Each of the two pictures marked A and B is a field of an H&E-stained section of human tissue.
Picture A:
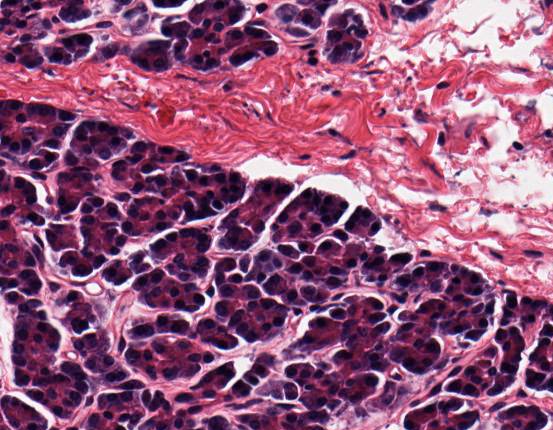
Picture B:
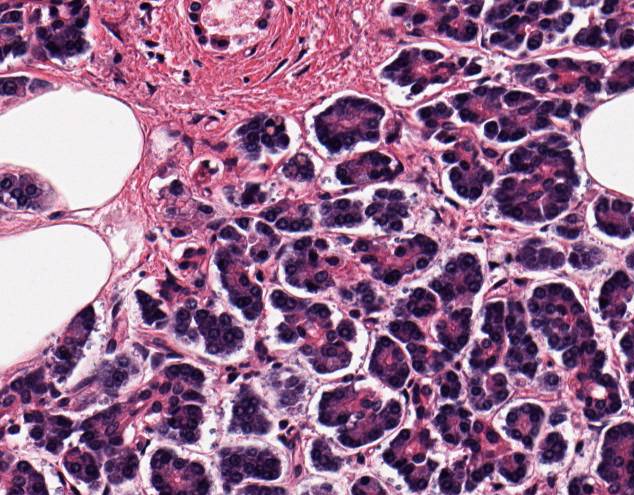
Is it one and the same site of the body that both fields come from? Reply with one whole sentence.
Yes, both come from the pancreas.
